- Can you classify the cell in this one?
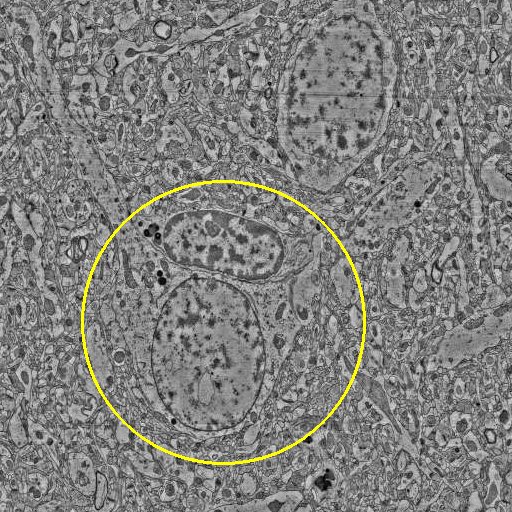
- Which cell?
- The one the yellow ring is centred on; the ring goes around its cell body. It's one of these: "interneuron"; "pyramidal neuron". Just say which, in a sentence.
The cell body in the ring belongs to a pyramidal neuron.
